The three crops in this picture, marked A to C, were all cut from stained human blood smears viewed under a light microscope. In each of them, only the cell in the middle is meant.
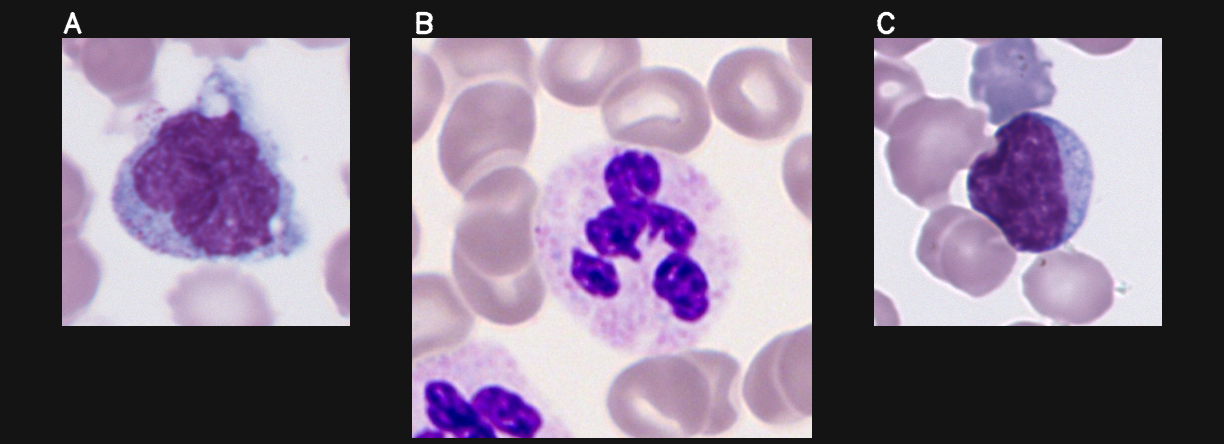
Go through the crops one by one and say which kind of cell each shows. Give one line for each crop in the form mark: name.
A: monocyte
B: neutrophil
C: lymphocyte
